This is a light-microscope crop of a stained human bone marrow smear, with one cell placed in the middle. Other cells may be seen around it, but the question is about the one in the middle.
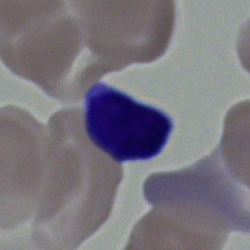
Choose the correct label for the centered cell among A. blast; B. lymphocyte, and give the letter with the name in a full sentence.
The centrally located cell is a lymphocyte, making option B the correct choice.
